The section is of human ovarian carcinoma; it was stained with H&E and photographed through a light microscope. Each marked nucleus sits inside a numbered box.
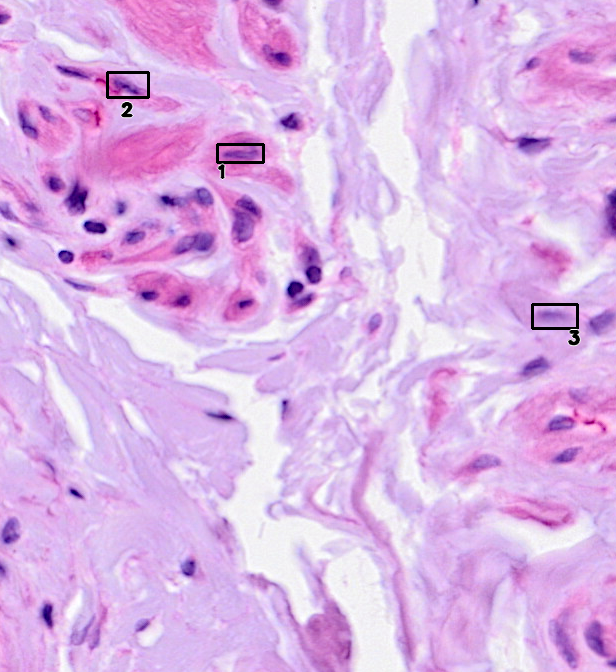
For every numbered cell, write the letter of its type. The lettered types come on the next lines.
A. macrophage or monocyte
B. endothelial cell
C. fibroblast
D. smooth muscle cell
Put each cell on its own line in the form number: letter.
1: D
2: B
3: C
